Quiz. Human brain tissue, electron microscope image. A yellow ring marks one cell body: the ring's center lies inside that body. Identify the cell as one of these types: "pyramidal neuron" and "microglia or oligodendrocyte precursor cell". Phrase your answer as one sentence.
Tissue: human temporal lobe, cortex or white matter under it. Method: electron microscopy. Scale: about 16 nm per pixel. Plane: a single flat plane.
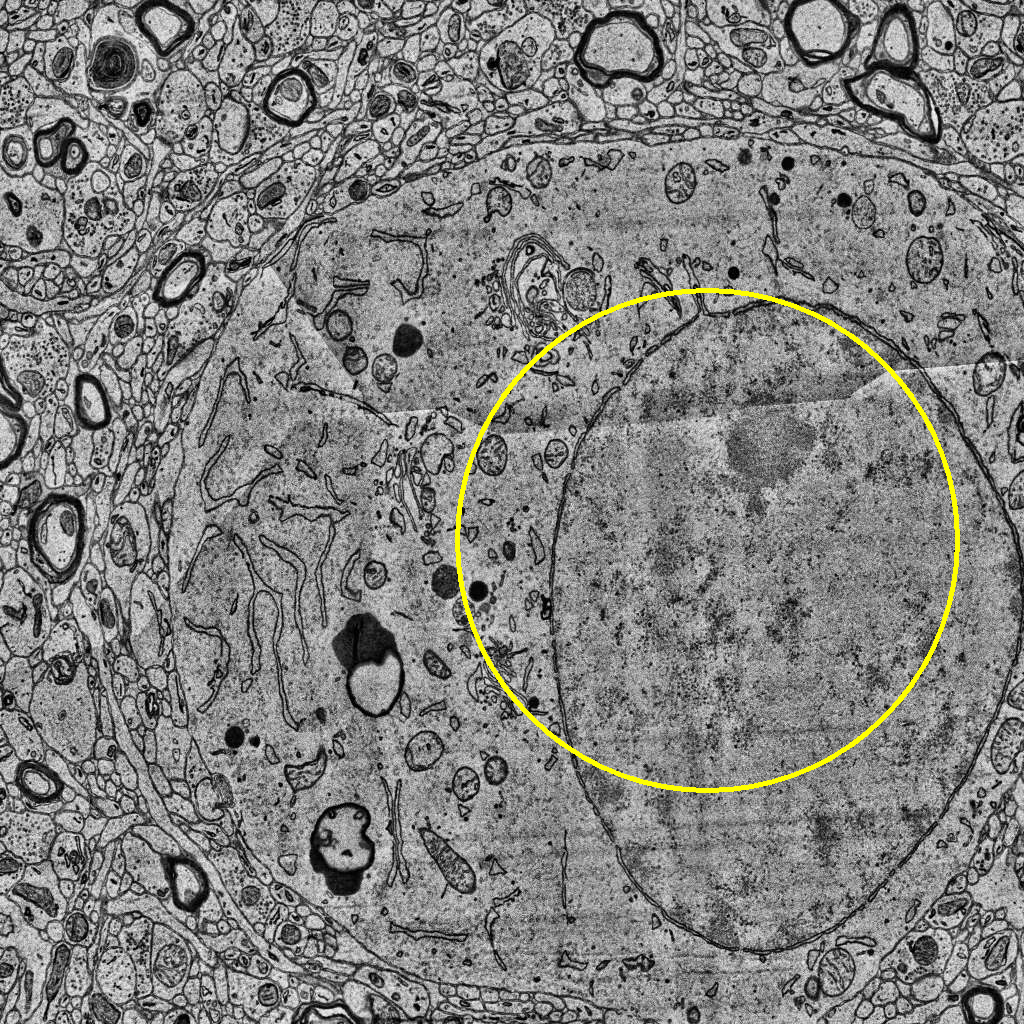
At the center of the ring sits a pyramidal neuron.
